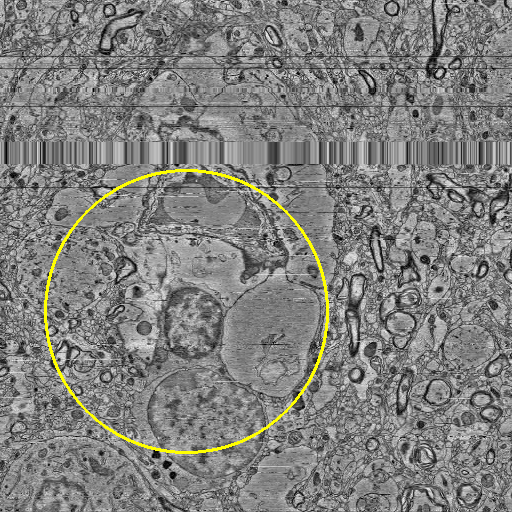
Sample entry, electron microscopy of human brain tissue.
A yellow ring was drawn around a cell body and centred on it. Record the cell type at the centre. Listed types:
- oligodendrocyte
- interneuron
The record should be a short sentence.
The cell at the ring's centre is an oligodendrocyte.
